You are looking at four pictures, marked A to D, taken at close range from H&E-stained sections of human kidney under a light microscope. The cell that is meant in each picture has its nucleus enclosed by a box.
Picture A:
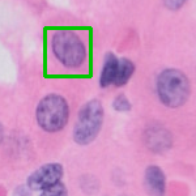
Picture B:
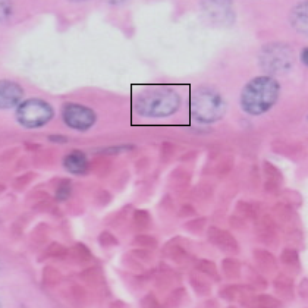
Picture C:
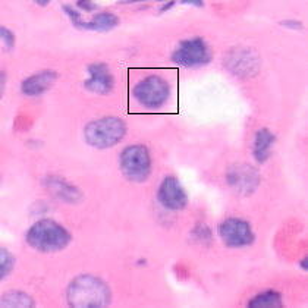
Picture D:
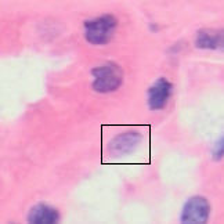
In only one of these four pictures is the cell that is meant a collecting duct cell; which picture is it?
B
